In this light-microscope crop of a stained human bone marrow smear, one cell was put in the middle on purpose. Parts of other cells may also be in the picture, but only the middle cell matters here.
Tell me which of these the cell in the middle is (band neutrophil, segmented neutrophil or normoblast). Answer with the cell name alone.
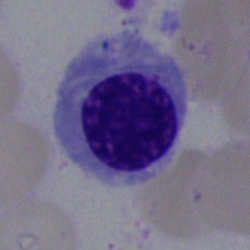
normoblast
